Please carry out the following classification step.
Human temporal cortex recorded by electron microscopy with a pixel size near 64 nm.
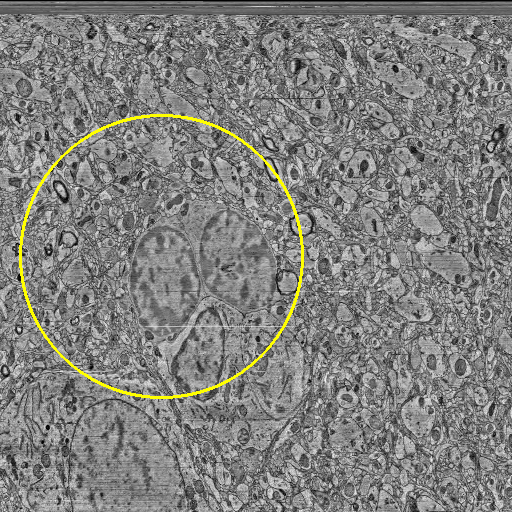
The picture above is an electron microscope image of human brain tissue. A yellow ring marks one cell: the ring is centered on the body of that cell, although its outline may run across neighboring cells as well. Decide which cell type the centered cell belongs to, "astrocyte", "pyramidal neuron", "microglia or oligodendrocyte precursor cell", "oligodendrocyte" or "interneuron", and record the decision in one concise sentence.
The cell centered in the yellow ring is an oligodendrocyte.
